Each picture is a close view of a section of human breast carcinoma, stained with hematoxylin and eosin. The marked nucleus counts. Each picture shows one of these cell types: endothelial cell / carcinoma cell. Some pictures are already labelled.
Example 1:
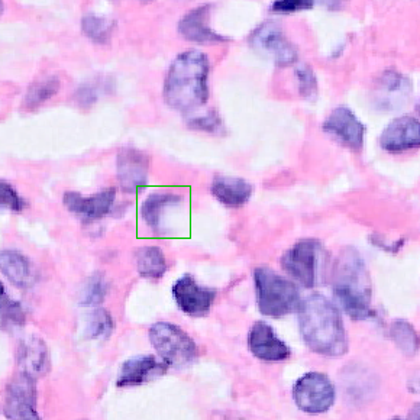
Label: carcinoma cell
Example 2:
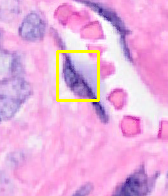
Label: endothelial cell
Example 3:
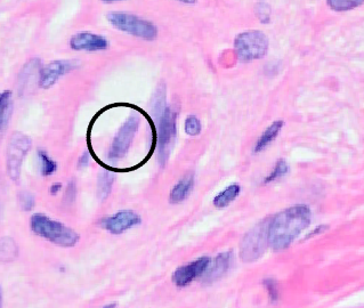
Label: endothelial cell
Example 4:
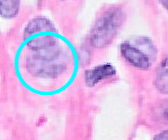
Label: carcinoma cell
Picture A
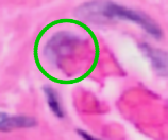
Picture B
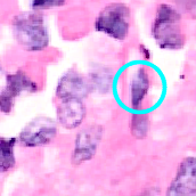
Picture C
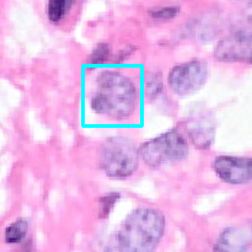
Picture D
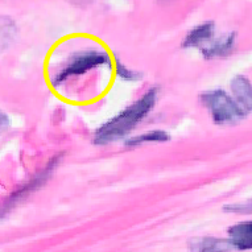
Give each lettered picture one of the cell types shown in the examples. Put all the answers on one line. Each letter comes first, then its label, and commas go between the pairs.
A endothelial cell, B endothelial cell, C carcinoma cell, D endothelial cell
